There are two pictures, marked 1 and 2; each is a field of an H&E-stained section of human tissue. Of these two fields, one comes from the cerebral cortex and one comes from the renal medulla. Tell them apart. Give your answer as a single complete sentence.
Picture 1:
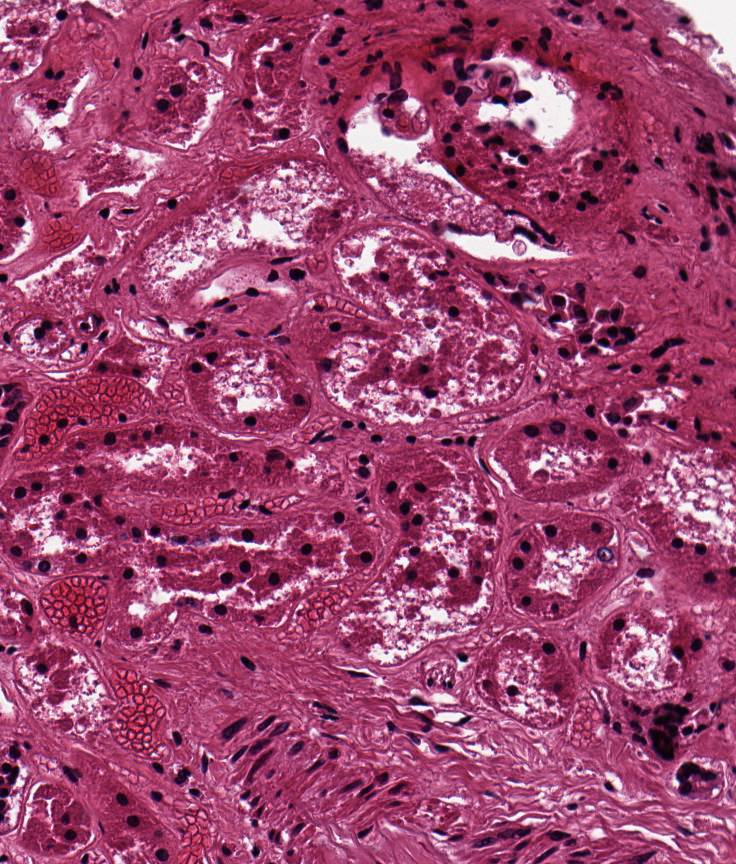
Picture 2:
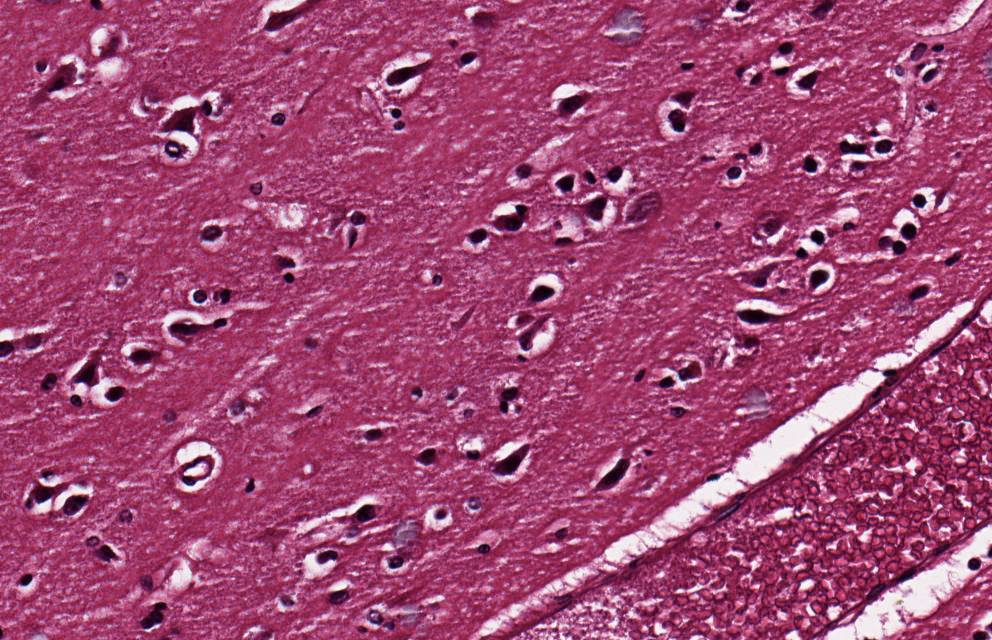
Picture 1 comes from the renal medulla and picture 2 comes from the cerebral cortex.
